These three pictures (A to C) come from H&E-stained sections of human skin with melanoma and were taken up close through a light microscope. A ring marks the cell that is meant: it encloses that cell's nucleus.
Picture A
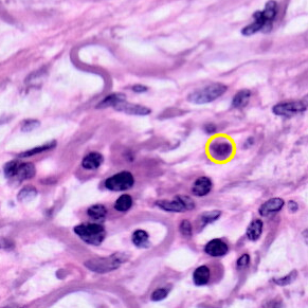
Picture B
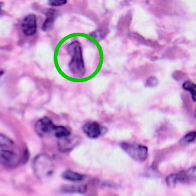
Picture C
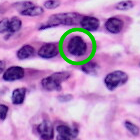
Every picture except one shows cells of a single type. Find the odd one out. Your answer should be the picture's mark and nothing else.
B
